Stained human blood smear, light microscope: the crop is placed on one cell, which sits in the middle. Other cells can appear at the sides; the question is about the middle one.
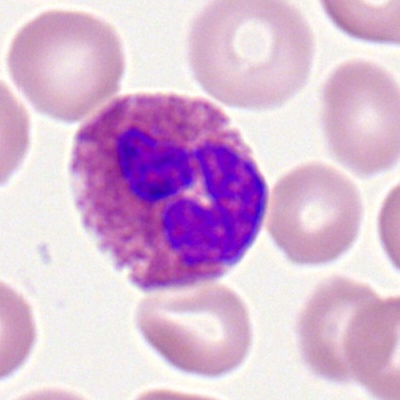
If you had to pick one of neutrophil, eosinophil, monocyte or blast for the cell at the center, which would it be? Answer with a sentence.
This particular crop is centered on an eosinophil.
